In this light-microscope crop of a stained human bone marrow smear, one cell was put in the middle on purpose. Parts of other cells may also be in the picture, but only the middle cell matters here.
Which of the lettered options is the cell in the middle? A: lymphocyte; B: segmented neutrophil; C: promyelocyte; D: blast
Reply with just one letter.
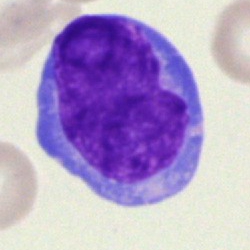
D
